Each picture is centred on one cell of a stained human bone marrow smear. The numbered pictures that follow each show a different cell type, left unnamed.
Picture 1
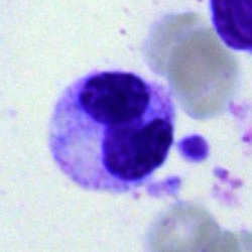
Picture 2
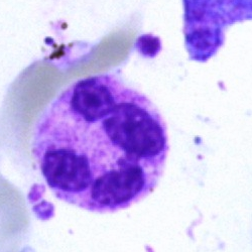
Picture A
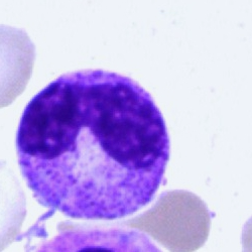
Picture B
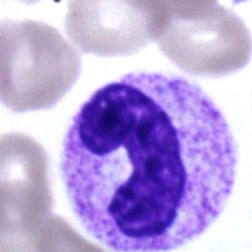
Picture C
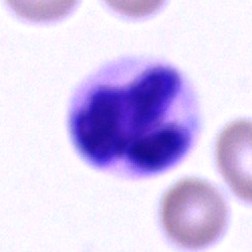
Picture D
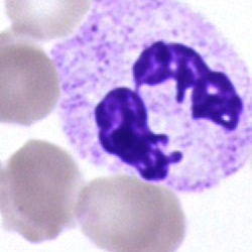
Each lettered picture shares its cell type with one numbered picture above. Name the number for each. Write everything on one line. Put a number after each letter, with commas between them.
A 1, B 1, C 2, D 2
